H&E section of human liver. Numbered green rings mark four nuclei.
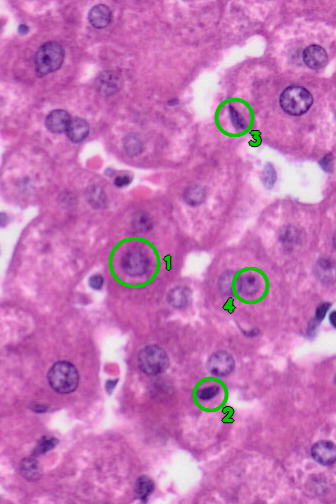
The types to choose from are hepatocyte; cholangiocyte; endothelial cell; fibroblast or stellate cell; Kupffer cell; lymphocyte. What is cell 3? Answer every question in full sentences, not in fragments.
In this section, number 3 marks a fibroblast or stellate cell.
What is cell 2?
The nucleus with number 2 is that of a fibroblast or stellate cell.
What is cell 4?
The cell numbered 4 represents a hepatocyte.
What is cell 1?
Among the marked nuclei, number 1 belongs to a hepatocyte.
